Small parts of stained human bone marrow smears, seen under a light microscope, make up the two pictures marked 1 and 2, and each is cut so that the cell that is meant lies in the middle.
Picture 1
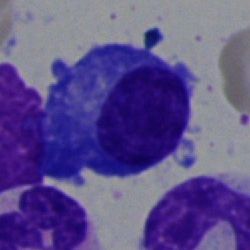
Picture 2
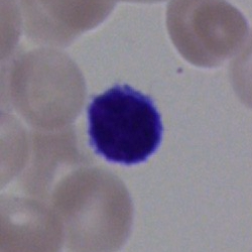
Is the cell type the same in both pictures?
no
